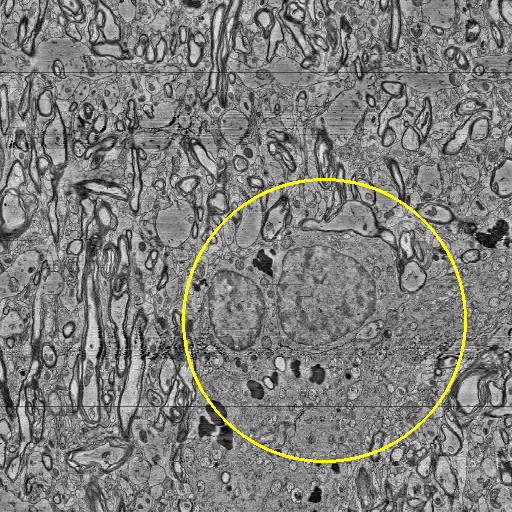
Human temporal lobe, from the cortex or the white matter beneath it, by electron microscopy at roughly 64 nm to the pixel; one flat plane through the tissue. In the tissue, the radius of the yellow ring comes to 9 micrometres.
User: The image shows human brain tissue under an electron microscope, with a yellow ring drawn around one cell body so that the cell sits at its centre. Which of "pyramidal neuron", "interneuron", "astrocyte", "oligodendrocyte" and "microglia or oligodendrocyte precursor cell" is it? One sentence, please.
At the centre of the ring sits an oligodendrocyte.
